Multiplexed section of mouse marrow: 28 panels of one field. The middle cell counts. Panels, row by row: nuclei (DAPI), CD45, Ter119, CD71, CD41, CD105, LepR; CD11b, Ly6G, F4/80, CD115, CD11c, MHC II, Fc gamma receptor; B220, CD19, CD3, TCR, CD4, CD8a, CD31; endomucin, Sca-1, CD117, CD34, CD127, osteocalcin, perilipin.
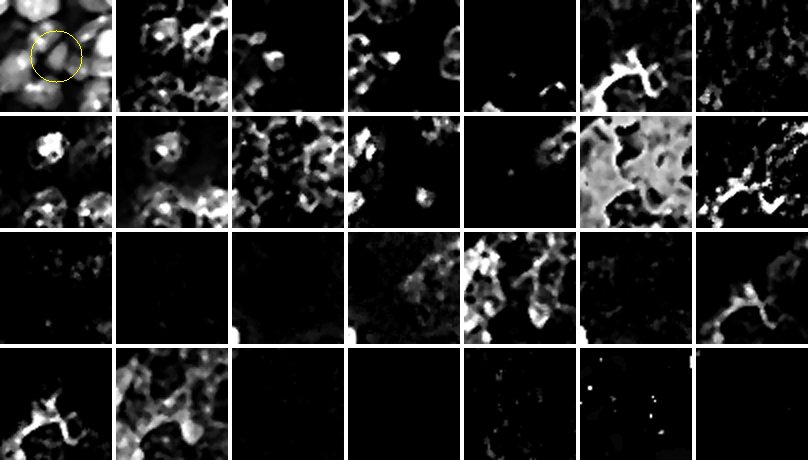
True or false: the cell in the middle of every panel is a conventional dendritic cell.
False; it is a capillary endothelial cell.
